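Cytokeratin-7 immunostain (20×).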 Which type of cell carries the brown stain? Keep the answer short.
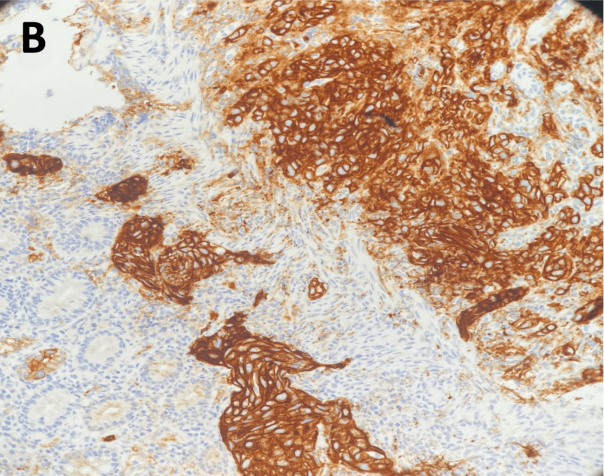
Tumor cells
